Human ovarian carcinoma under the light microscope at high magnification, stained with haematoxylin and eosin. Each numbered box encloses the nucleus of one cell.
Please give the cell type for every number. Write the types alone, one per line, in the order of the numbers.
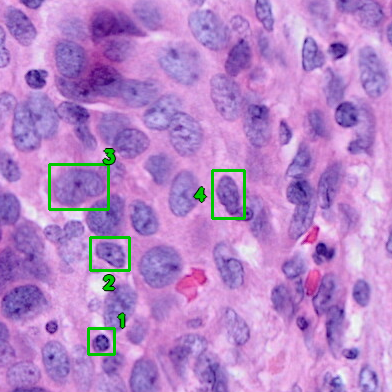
lymphocyte
macrophage or monocyte
carcinoma cell
macrophage or monocyte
